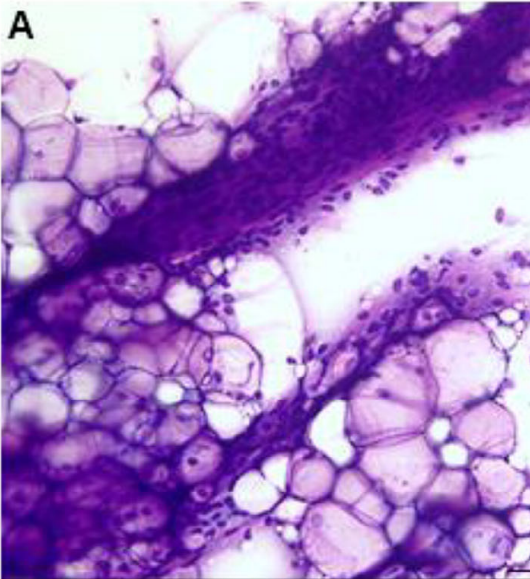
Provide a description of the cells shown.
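Aggregates of mature adipose tissue, with large clear polygonal fat cells packed in honeycomb clusters with thin purple borders. Dense dark purple bands of spindle cells with small elongated nuclei run diagonally between the fat cell clusters.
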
